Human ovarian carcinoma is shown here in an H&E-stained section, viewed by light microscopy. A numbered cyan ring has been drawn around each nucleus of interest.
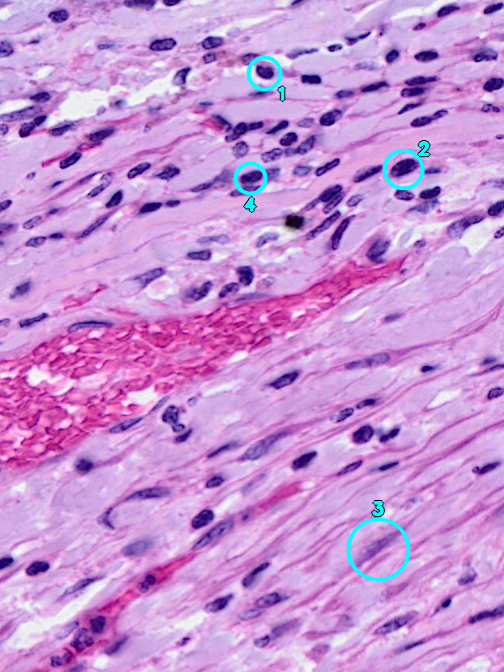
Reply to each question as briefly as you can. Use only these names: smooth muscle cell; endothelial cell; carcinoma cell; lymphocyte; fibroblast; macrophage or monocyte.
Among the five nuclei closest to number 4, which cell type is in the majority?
lymphocyte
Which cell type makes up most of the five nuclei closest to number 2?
lymphocyte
